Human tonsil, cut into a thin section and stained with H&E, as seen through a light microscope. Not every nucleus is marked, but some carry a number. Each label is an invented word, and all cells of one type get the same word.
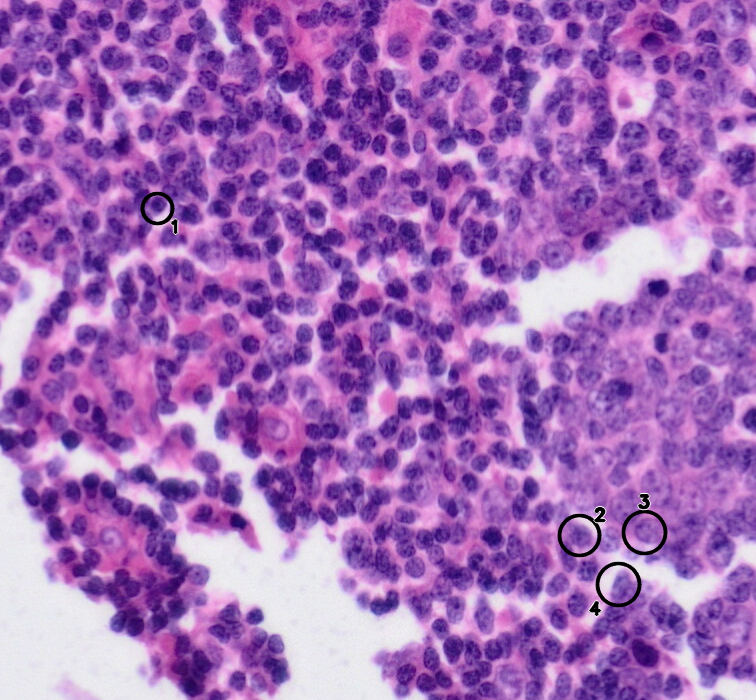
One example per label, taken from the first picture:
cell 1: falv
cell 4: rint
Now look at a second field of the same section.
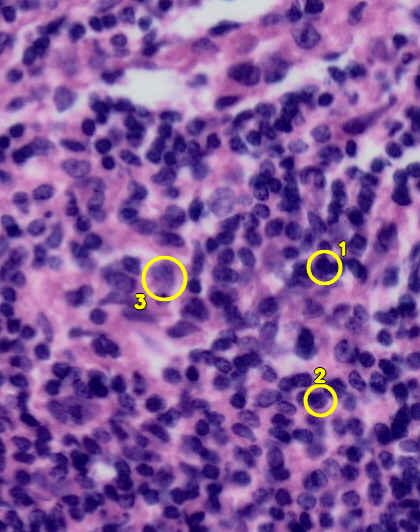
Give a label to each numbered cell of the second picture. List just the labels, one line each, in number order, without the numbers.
falv
falv
rint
